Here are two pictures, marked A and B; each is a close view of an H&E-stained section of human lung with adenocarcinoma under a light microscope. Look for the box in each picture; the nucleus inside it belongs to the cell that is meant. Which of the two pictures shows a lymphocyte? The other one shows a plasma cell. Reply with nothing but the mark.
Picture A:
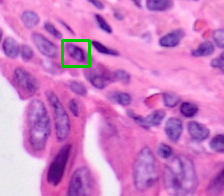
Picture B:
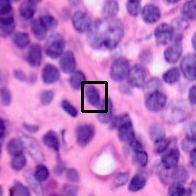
B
